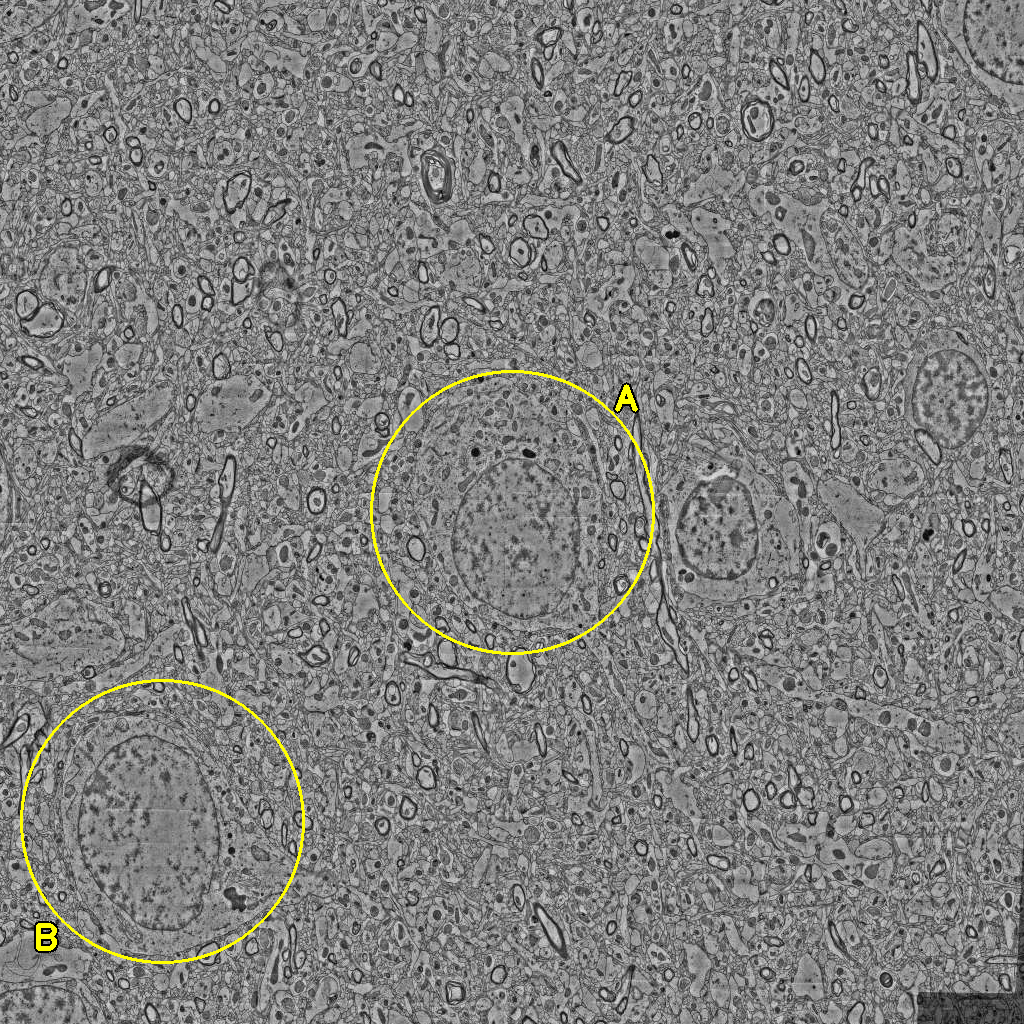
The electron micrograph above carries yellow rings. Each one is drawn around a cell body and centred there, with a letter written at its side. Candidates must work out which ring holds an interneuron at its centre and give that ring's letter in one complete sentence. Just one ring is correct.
Letter A marks the ring whose centre holds that kind of cell.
